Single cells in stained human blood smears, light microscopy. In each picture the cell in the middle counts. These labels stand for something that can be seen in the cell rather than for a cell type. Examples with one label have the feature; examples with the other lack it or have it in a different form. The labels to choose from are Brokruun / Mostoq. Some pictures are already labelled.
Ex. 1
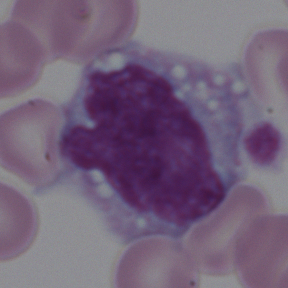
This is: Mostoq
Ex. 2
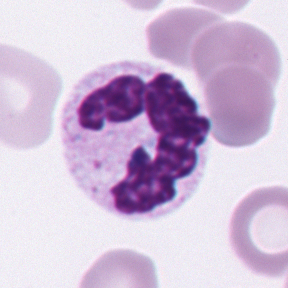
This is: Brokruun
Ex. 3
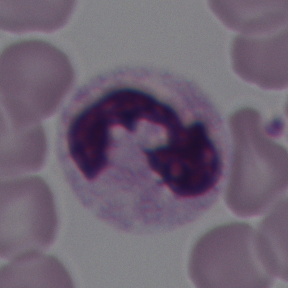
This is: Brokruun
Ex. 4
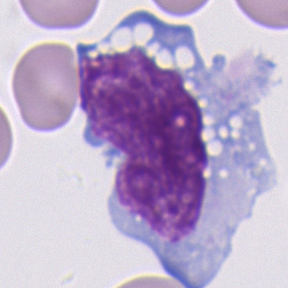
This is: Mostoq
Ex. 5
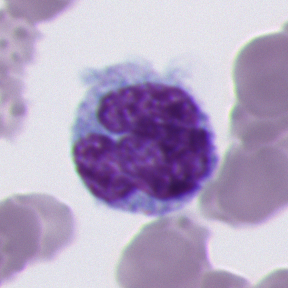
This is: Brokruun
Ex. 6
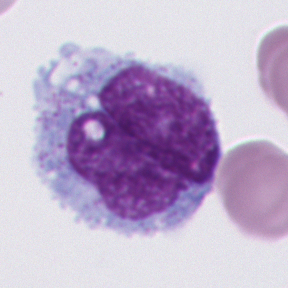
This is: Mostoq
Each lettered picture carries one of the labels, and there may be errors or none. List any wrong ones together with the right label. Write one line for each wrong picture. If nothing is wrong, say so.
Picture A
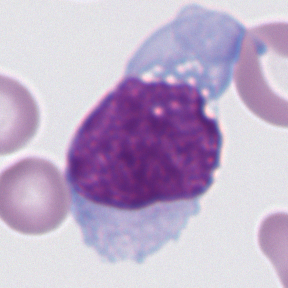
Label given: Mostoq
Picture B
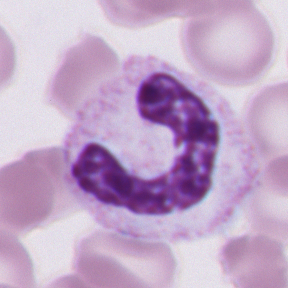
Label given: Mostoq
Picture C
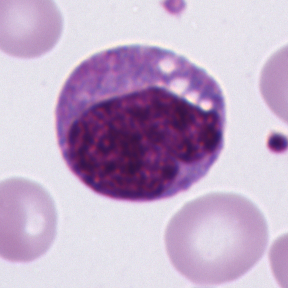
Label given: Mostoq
B is labelled Mostoq; correct label: Brokruun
